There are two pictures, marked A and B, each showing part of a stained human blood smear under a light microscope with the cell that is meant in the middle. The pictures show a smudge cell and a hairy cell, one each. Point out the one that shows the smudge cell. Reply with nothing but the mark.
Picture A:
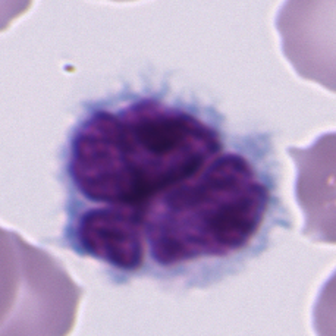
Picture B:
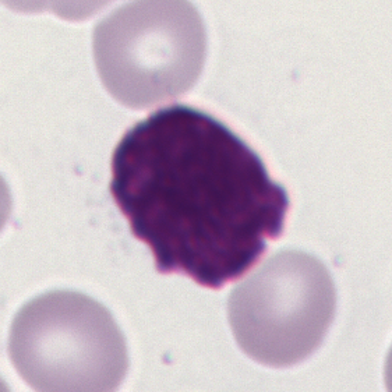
B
